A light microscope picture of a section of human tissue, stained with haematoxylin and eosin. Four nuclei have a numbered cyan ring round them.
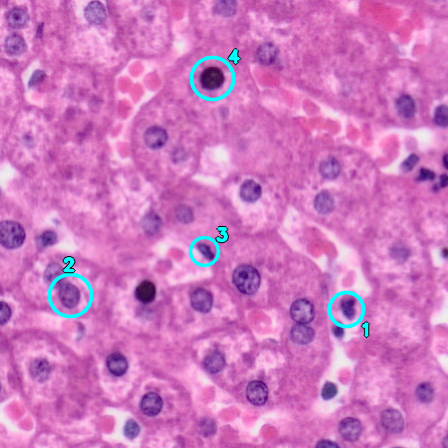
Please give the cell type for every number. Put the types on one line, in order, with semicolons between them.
lymphocyte; hepatocyte; fibroblast or stellate cell; hepatocyte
